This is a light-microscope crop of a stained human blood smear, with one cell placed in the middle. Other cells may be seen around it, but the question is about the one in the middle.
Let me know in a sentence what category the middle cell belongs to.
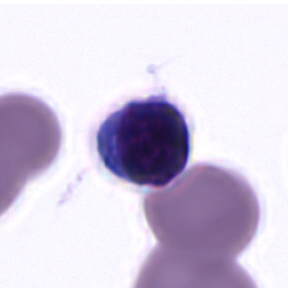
Present in the middle of the crop is a plasma cell.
